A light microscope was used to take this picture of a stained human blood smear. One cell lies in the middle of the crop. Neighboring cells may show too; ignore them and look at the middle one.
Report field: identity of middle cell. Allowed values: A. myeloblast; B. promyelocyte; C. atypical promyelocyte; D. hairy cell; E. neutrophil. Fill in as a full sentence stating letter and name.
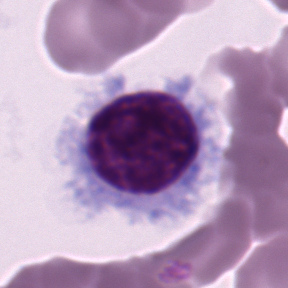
At the centre of the crop lies a hairy cell, which makes option D correct.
